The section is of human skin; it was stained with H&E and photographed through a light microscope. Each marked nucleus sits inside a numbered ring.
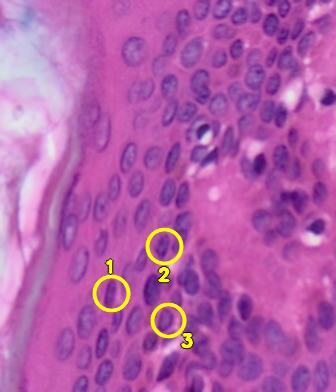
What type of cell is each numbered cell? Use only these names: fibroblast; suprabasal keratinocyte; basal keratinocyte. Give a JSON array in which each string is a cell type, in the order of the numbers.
["suprabasal keratinocyte", "basal keratinocyte", "basal keratinocyte"]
